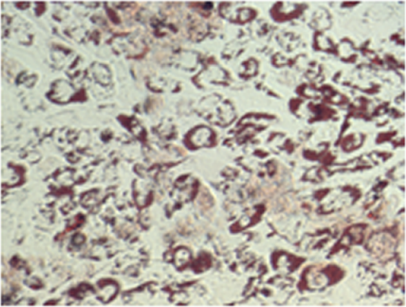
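A dense culture of rounded and irregular cells is seen, many of them packed with dark red-stained droplets in their cytoplasm. The red material forms clusters and rings that outline individual cells, while the cells between them stay pale. Some cells appear as empty, ring-like outlines with a red rim.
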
